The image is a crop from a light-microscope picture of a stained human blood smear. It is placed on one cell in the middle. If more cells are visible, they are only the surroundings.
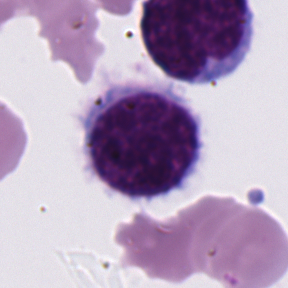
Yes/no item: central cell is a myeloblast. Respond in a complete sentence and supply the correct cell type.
No, that guess of a myeloblast misses; the central cell is a hairy cell.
